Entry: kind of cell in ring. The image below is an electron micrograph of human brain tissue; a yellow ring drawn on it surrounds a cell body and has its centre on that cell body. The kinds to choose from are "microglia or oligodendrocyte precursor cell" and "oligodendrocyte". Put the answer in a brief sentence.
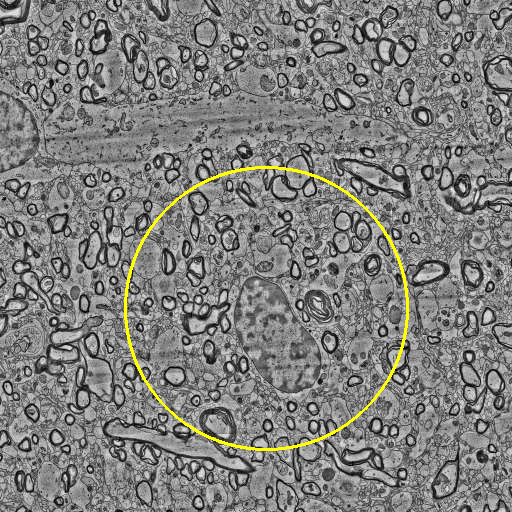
The ring has been drawn around a microglial cell or oligodendrocyte precursor cell.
